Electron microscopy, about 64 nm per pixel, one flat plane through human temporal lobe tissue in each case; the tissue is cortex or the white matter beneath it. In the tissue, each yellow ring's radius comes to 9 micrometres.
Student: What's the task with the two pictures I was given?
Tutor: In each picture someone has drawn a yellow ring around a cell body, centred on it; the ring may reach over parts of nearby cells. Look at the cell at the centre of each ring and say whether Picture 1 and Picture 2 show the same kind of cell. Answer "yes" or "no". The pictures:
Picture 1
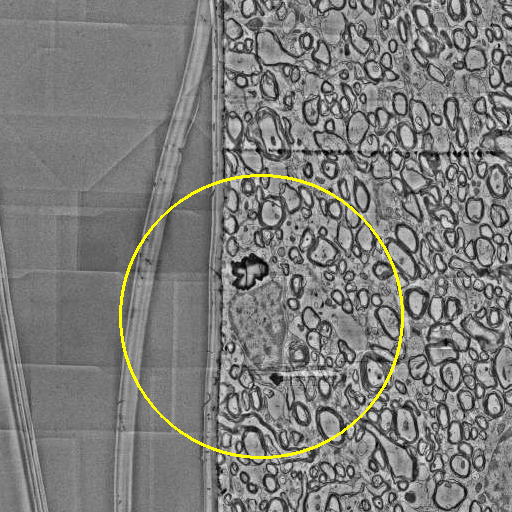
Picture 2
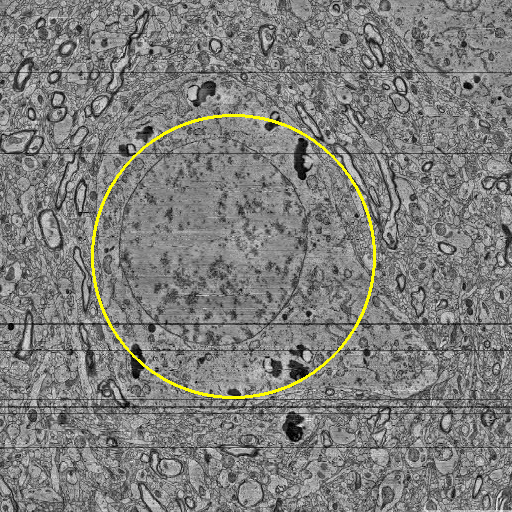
no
